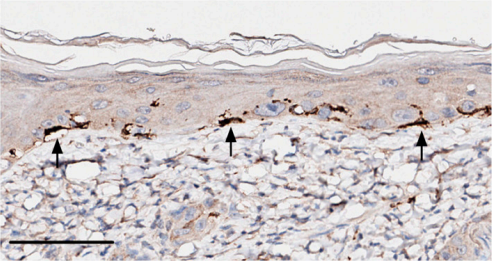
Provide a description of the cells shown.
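This is skin with a thickened stratified epidermis over loose dermis, and scattered melanocytes stain dark brown in the basal layer of the epidermis. The melanocytes are irregular and send short dendritic processes along the junction with the dermis, among pale keratinocytes with blue oval nuclei. A layered cornified layer lies on the surface.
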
